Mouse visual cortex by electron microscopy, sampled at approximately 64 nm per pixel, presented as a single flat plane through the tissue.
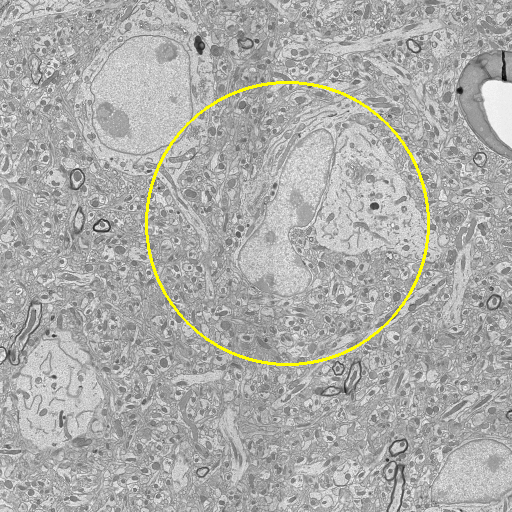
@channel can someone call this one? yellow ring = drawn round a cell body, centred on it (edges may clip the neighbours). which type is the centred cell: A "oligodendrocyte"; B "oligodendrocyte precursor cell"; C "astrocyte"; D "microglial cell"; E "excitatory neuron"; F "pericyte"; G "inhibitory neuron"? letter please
B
